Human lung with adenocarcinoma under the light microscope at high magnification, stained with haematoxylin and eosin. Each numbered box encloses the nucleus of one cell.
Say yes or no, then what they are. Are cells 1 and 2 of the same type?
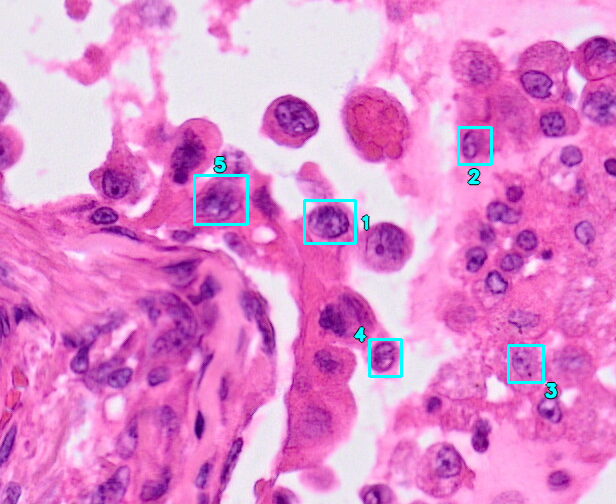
No, cell 1 is a carcinoma cell and cell 2 is a macrophage or monocyte.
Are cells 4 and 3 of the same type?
Yes, both are macrophages or monocytes.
